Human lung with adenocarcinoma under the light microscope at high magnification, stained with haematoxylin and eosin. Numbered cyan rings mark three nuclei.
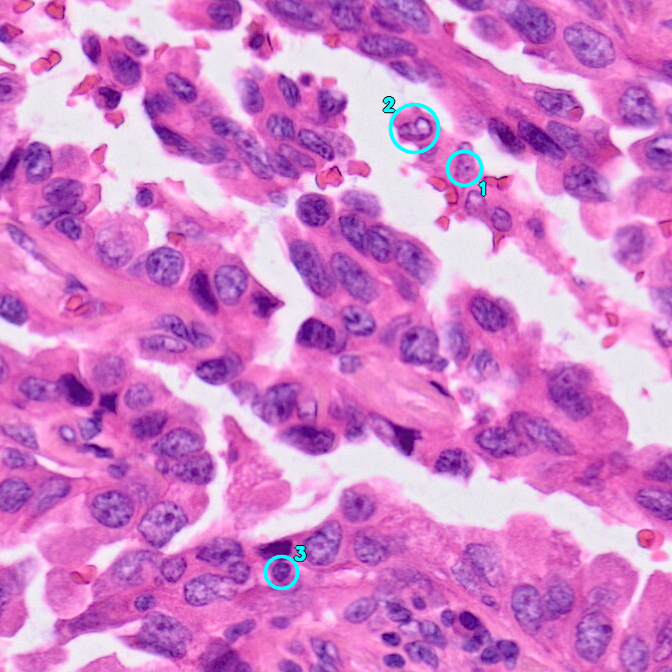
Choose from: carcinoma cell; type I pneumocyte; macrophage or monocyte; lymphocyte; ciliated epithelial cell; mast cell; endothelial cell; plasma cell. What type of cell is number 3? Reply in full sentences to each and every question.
The cell assigned the number 3 is a lymphocyte.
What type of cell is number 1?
At number 1, the marked cell is a macrophage or monocyte.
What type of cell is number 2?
Among the marked cells, number 2 is a macrophage or monocyte.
